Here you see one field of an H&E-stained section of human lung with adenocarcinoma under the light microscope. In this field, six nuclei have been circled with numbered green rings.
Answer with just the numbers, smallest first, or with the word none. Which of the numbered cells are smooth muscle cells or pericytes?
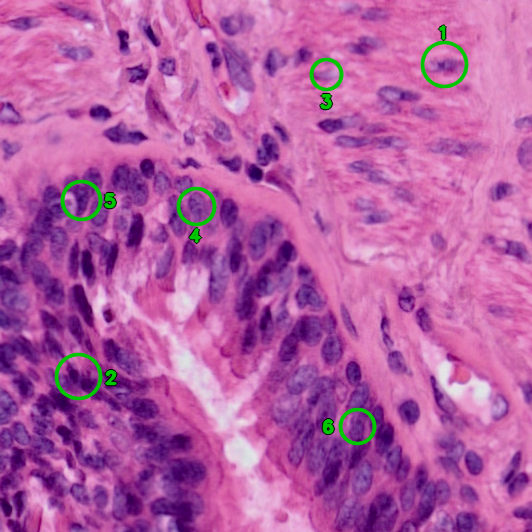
1, 3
